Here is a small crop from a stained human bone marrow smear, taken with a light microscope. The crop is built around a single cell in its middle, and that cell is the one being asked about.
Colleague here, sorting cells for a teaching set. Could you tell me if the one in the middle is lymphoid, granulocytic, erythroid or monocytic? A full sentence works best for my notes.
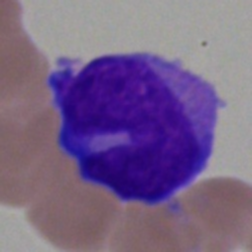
The cell held in the center of the crop belongs to the monocytic lineage.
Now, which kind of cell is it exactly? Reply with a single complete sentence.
In the centre of this crop there is a monocyte.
